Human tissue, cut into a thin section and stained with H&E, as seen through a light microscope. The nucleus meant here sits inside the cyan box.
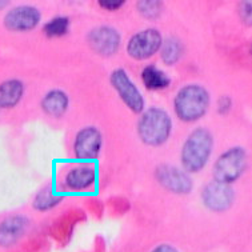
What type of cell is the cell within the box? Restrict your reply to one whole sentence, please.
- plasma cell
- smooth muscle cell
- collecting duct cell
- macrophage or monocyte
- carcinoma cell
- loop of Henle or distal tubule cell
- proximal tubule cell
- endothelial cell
The expected answer is simply that the cell within the box is a collecting duct cell.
